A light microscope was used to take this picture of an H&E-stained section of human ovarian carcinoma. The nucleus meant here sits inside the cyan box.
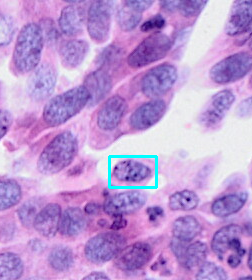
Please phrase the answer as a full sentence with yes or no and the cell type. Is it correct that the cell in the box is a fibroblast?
No, far from being a fibroblast, the cell in the box is a macrophage or monocyte.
